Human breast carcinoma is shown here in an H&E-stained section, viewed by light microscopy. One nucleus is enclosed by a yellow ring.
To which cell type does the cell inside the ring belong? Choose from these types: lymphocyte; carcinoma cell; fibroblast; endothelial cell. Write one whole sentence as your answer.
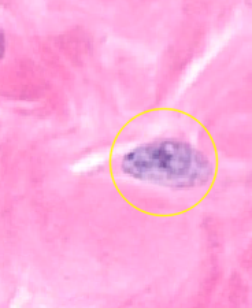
The category to which the cell inside the ring belongs is that of a fibroblast.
